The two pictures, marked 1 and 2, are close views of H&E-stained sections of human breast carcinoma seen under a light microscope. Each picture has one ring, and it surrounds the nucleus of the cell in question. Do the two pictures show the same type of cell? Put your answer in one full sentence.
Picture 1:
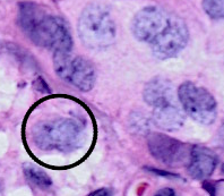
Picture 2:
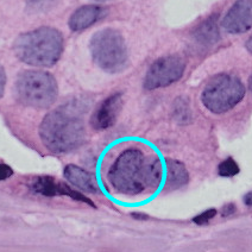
Yes, they are the same type: both are carcinoma cells.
